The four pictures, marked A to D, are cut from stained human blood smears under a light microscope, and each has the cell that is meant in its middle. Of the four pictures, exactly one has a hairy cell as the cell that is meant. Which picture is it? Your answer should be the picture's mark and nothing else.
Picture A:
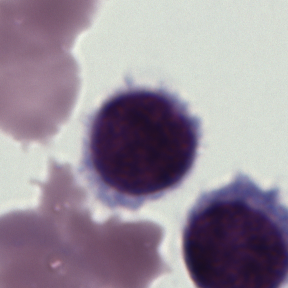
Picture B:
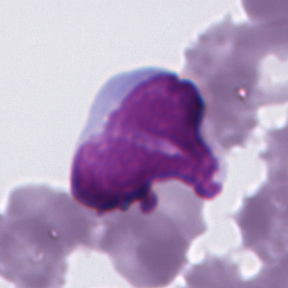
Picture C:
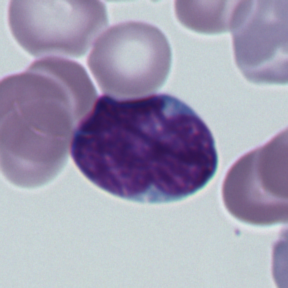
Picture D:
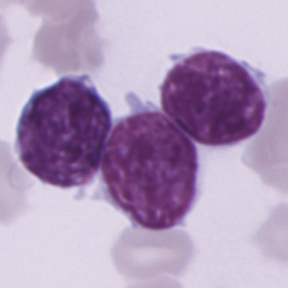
A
